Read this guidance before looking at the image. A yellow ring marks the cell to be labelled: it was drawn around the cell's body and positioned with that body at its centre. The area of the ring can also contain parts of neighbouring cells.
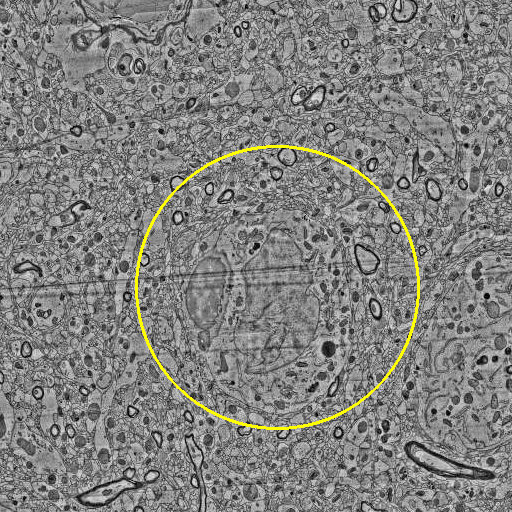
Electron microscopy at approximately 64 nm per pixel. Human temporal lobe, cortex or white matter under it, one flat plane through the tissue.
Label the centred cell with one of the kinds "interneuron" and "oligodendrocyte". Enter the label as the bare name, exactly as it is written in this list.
interneuron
